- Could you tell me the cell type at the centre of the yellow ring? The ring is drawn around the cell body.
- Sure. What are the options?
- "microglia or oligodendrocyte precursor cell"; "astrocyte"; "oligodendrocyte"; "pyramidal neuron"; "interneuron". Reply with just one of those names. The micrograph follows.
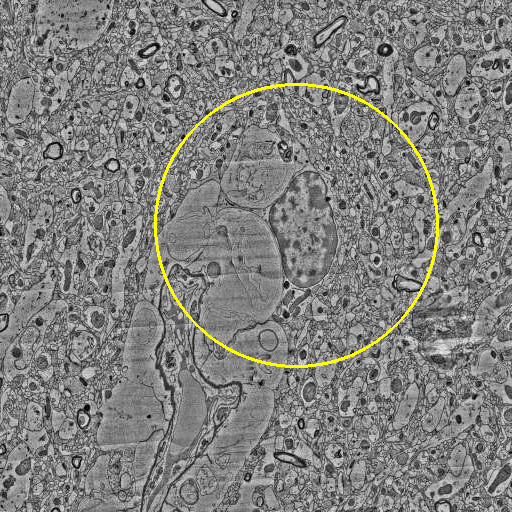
microglia or oligodendrocyte precursor cell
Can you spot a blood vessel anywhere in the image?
Yes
